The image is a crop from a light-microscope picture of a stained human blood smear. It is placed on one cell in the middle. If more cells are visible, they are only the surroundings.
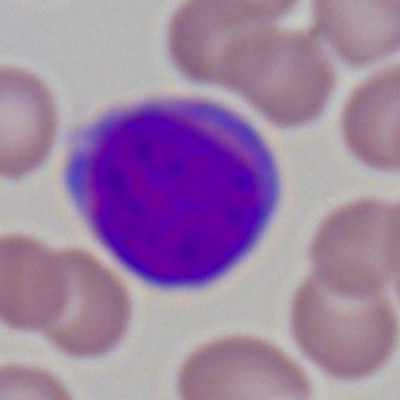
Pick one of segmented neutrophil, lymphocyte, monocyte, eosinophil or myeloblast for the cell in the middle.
myeloblast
